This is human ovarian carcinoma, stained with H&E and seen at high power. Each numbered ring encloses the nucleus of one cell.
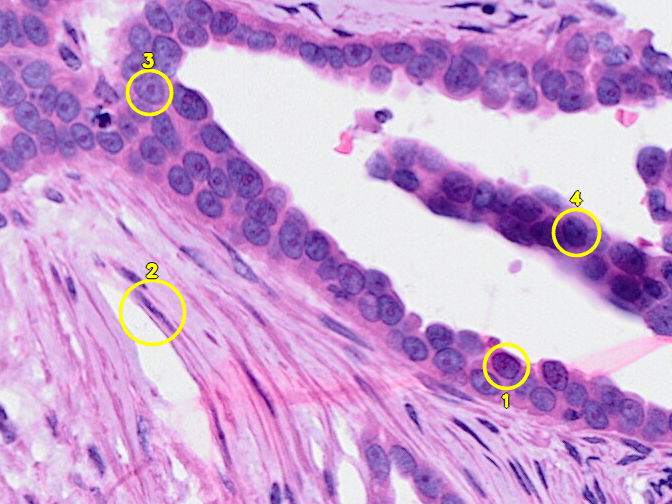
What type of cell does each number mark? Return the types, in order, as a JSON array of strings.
["carcinoma cell", "fibroblast", "carcinoma cell", "carcinoma cell"]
